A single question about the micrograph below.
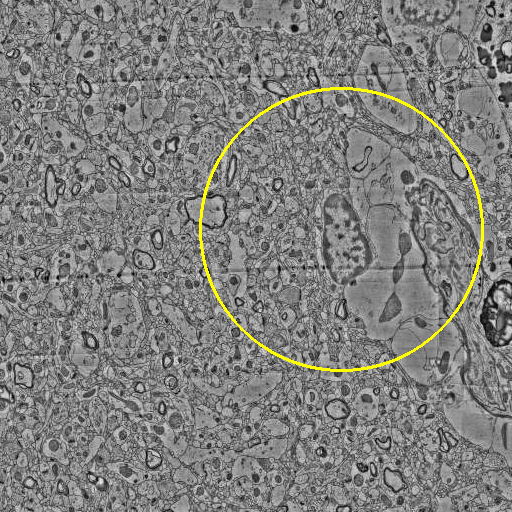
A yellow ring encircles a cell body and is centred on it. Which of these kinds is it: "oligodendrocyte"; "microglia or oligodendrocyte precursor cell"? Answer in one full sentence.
The cell body at the centre of the yellow ring belongs to a microglial cell or oligodendrocyte precursor cell.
